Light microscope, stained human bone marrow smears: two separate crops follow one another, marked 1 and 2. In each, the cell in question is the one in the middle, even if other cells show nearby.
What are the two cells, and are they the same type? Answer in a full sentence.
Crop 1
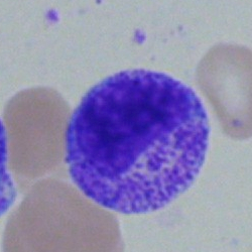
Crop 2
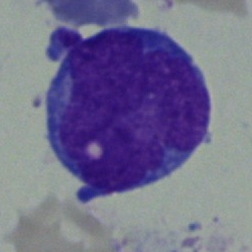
No, a myelocyte is depicted by crop 1, a blast by crop 2.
